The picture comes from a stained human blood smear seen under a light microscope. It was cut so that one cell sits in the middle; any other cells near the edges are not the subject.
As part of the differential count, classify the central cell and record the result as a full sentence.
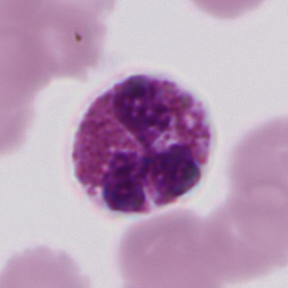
Standing at the centre of this crop is an eosinophil.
